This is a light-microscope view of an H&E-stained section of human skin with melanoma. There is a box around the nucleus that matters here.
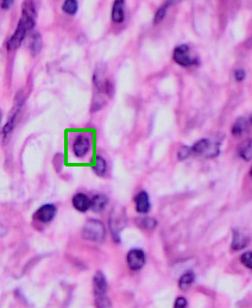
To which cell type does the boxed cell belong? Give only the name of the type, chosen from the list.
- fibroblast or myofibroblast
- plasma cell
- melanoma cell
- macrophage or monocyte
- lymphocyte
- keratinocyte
plasma cell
